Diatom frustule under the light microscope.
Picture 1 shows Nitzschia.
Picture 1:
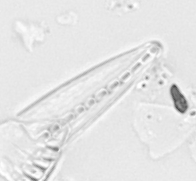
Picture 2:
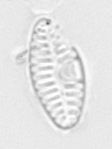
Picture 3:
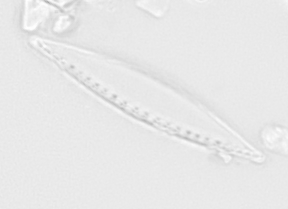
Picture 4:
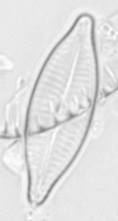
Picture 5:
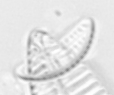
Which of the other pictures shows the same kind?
Picture 3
